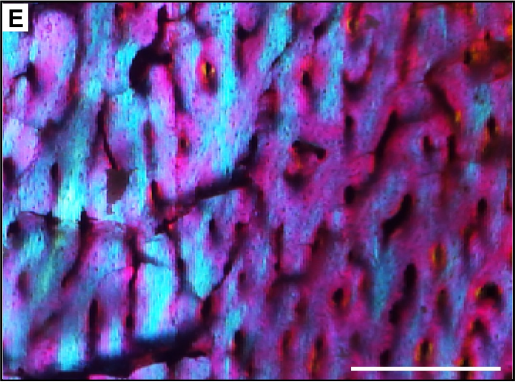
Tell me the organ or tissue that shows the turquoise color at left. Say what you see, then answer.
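The left part of the image is largely turquoise. The right part is mostly pink-magenta with dark canals.
Parallel-fibered bone.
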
